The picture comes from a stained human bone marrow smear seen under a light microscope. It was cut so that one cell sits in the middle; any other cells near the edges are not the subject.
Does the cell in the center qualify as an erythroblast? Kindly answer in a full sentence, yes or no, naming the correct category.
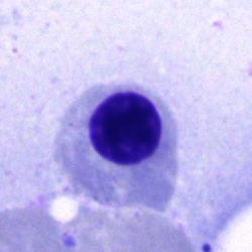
Yes, the central cell here is an erythroblast.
